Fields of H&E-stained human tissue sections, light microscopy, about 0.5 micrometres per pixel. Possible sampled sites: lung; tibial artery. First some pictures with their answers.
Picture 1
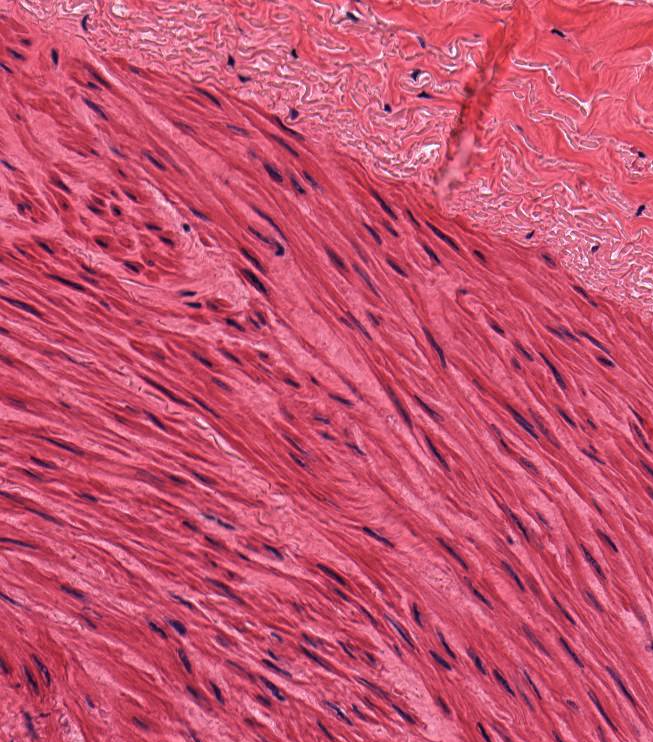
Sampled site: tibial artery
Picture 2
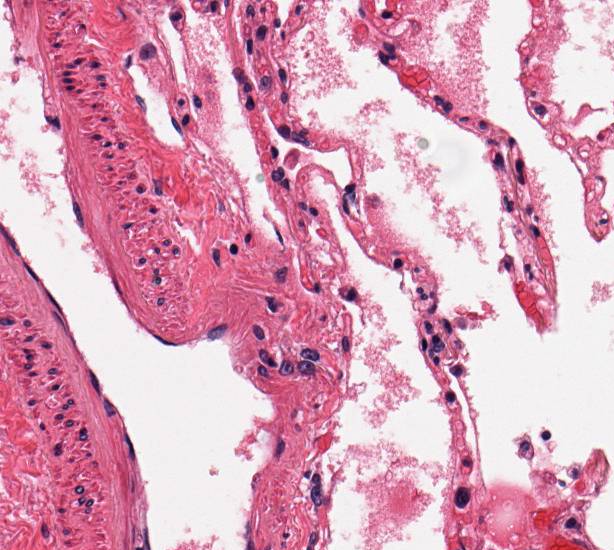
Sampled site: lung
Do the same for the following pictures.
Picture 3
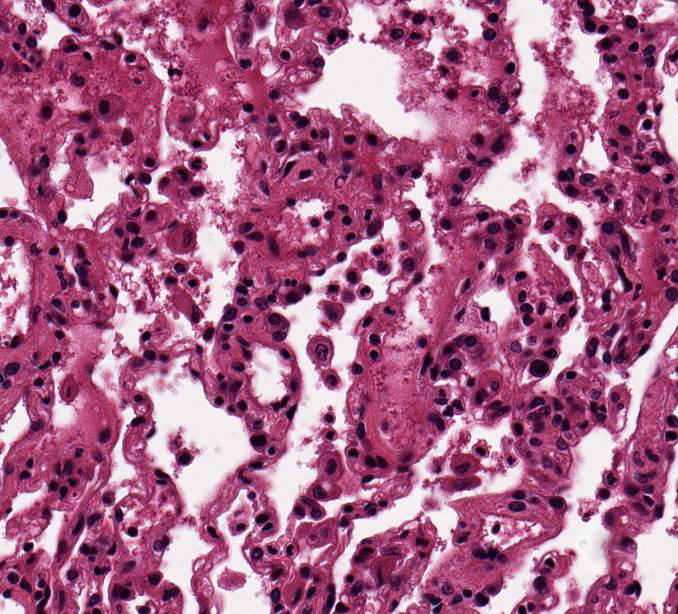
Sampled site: lung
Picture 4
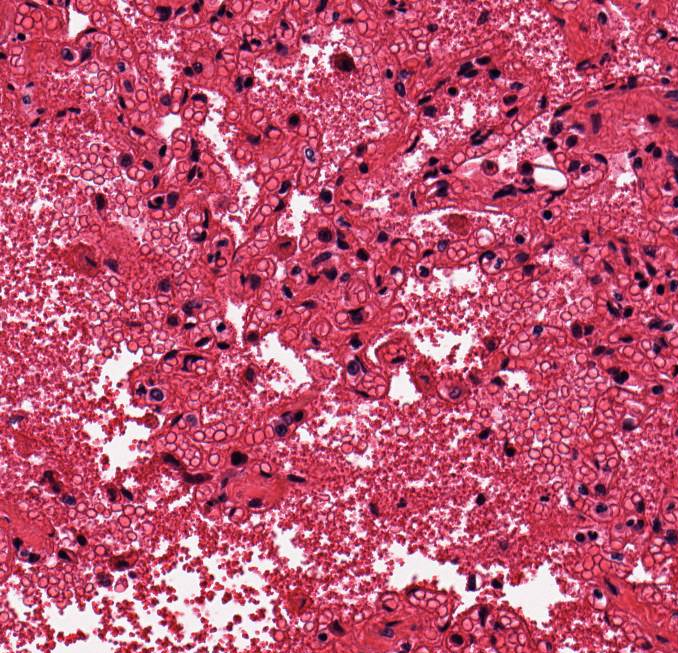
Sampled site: lung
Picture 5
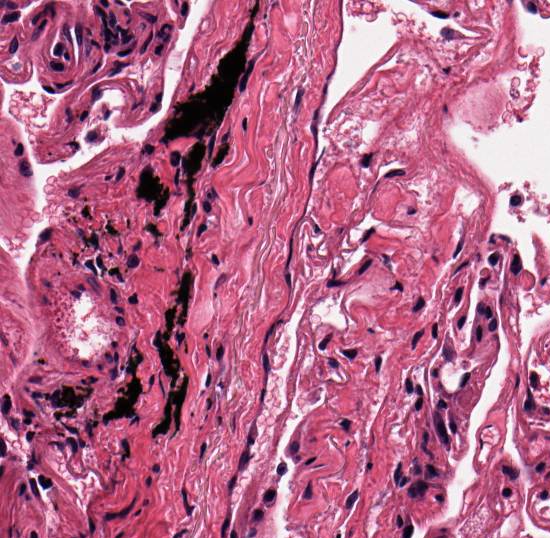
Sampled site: lung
